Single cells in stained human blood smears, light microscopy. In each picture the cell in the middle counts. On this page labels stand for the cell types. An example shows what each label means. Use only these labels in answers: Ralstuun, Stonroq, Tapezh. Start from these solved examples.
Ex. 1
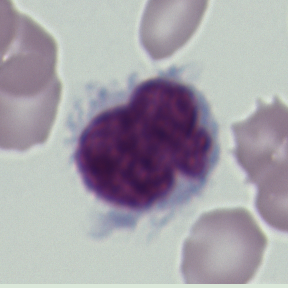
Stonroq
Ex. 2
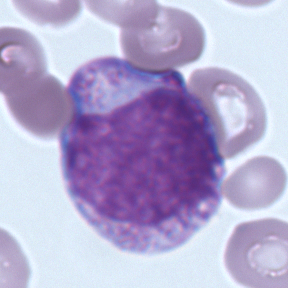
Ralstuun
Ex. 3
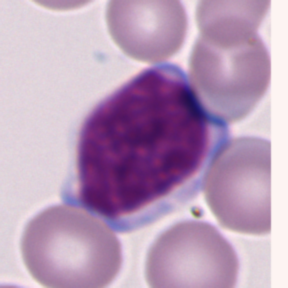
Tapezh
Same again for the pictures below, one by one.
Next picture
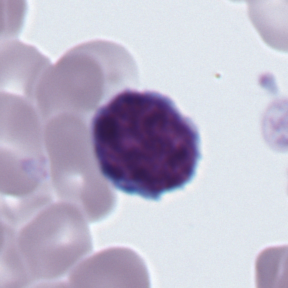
Tapezh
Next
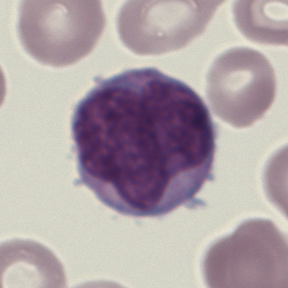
Ralstuun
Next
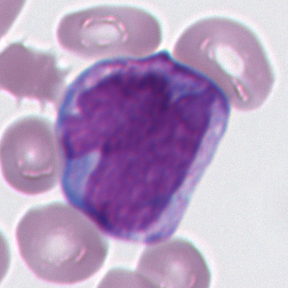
Ralstuun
